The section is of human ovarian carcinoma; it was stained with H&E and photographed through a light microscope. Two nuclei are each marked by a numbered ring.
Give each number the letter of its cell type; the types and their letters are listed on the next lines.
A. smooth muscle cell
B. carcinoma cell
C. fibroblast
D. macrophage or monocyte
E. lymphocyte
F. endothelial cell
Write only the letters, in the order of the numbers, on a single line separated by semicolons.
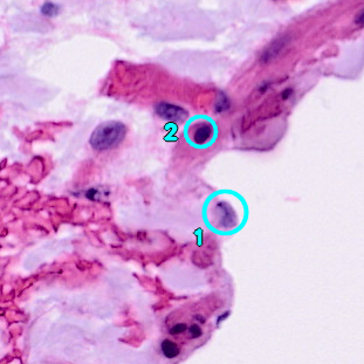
F; A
